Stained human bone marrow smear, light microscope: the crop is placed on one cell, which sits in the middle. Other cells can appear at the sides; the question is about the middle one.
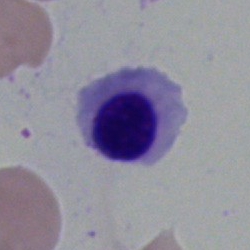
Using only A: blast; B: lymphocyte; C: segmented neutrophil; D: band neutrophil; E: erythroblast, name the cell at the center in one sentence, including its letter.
Option E is the right one, for the cell in the middle is an erythroblast.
